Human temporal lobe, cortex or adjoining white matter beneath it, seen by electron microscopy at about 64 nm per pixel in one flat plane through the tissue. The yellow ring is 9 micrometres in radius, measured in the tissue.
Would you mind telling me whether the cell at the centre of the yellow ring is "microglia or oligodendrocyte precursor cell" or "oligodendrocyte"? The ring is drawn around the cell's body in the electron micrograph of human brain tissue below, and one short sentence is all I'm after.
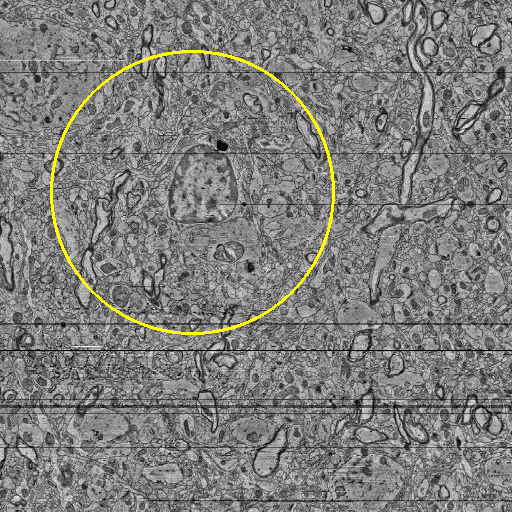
In the centre of the ring lies a microglial cell or oligodendrocyte precursor cell.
